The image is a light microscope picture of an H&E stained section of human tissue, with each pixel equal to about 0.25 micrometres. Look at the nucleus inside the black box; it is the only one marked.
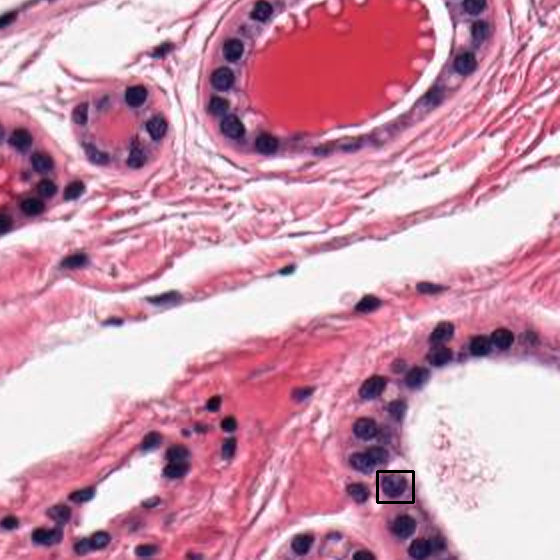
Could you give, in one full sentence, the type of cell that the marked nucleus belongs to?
The nucleus marked in this picture belongs to a thyroid follicular cell.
